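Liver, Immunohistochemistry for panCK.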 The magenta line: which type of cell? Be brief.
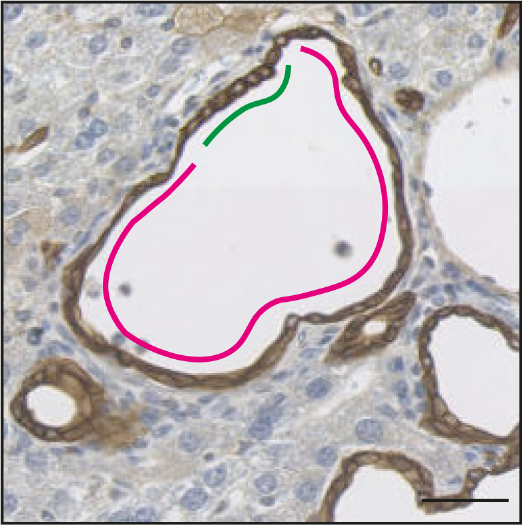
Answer: cystic epithelial cells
